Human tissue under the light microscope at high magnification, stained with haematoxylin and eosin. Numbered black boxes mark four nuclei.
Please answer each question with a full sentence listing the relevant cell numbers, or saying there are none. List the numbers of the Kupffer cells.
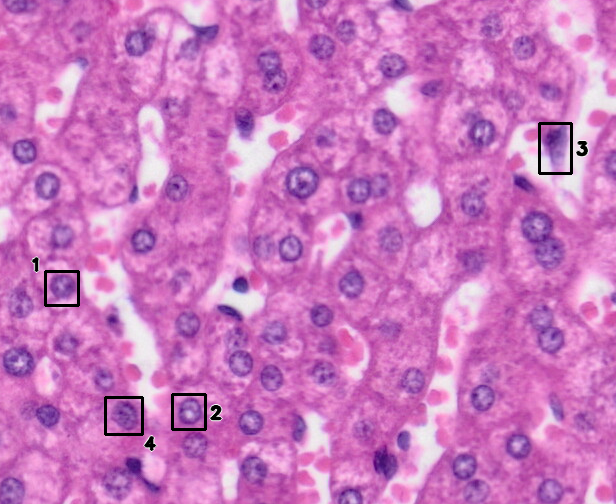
Only the cell with number 3 is a Kupffer cell.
